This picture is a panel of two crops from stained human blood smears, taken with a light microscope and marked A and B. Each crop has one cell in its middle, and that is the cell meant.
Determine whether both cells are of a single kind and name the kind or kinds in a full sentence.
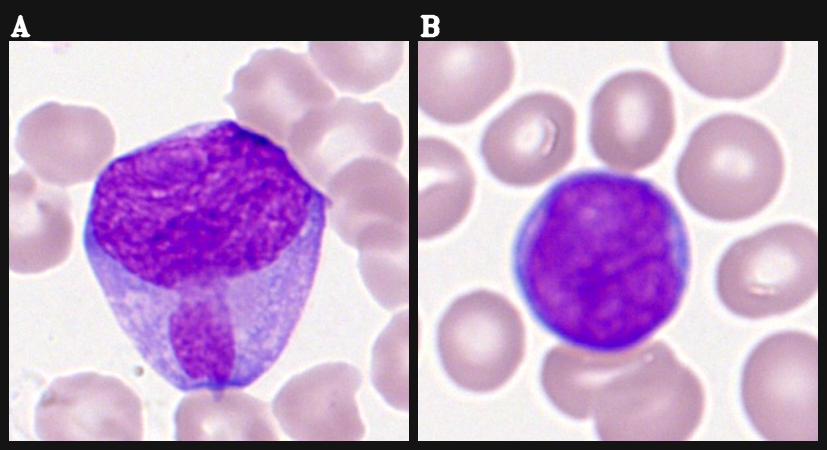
Yes, myeloblasts are depicted in both crops.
